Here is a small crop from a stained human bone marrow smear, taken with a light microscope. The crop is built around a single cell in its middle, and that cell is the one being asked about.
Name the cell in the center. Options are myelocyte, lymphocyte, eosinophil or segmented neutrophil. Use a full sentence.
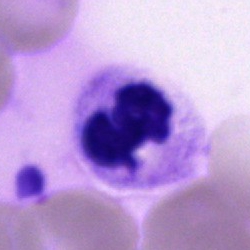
Of the cells in this crop, the central one is a segmented neutrophil.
